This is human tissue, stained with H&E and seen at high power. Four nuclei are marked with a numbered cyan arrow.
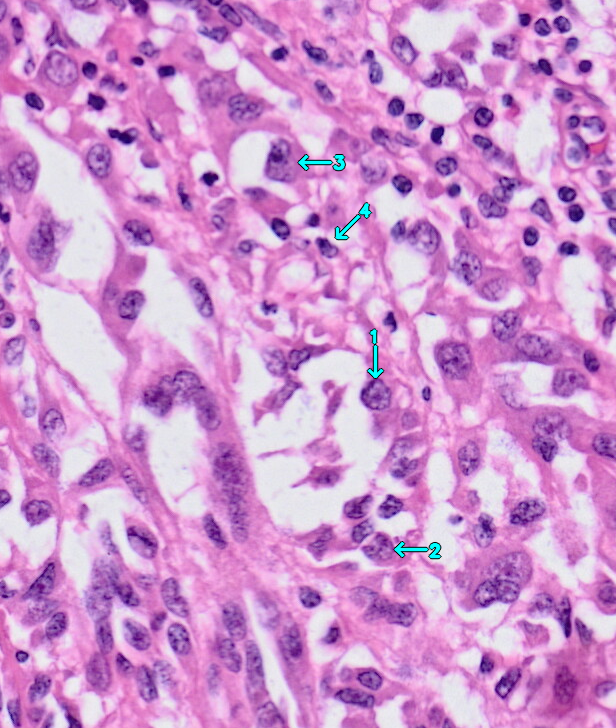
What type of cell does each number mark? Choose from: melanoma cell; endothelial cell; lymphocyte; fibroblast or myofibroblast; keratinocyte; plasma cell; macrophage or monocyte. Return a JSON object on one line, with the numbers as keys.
{"1": "melanoma cell", "2": "melanoma cell", "3": "melanoma cell", "4": "lymphocyte"}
